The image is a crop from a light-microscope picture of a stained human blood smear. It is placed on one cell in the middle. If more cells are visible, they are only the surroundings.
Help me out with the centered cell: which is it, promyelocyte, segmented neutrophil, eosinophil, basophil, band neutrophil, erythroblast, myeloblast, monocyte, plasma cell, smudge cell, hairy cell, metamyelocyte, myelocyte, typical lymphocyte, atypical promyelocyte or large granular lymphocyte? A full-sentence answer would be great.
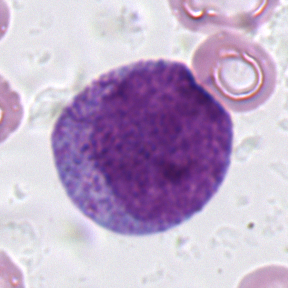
For this crop, the cell in the middle is a promyelocyte.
